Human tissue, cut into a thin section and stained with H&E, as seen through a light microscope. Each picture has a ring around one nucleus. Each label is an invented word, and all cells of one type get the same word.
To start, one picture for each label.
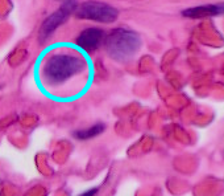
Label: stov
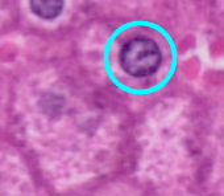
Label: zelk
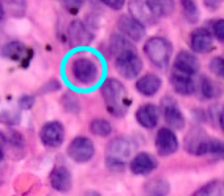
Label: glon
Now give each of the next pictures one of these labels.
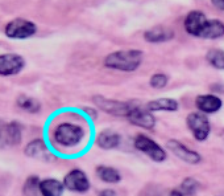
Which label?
glon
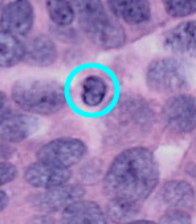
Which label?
glon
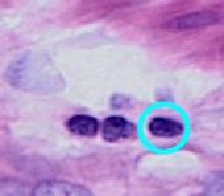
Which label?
glon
